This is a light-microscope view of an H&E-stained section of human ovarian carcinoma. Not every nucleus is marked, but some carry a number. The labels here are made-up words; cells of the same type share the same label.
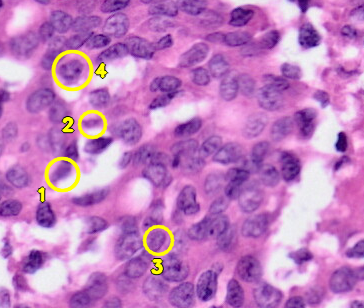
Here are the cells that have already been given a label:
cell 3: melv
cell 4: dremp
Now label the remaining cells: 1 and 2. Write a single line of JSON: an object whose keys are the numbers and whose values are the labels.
{"1": "melv", "2": "melv"}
